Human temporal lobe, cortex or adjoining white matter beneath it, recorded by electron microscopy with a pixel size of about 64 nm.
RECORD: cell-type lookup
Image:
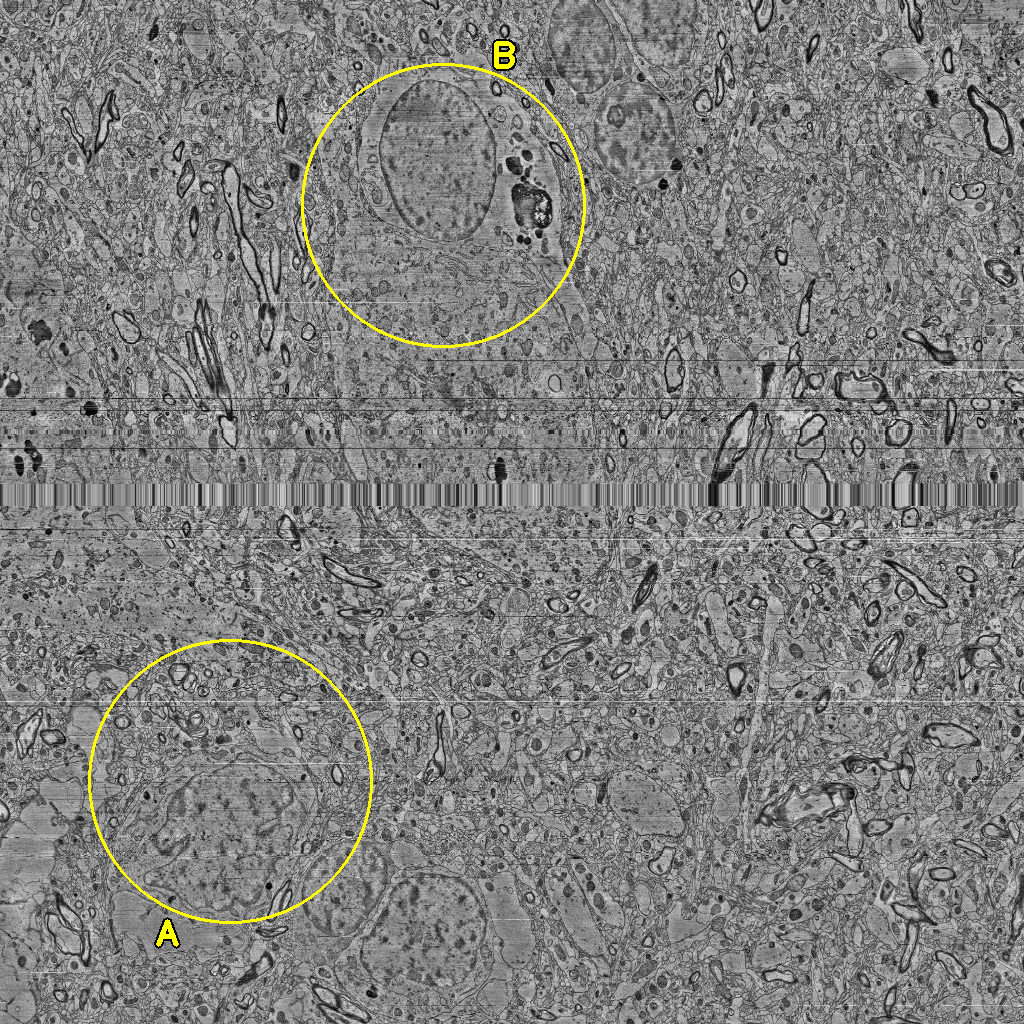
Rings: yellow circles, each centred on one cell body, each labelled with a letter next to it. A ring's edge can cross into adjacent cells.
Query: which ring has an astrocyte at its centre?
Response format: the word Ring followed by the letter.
Ring B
